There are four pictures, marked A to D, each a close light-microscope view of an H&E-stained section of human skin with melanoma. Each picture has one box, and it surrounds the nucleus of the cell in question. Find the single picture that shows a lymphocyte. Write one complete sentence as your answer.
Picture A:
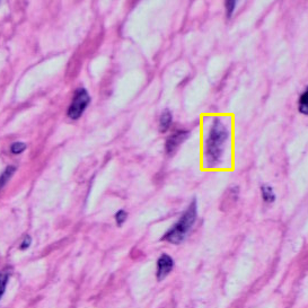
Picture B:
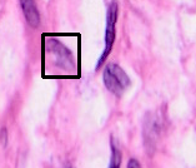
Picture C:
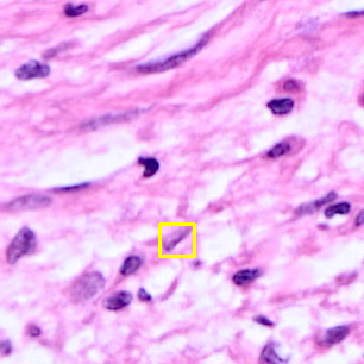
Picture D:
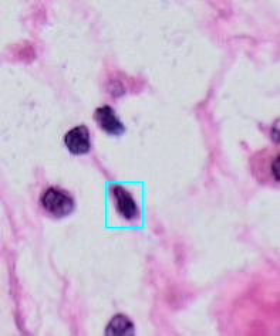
The lymphocyte is the one in picture D.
